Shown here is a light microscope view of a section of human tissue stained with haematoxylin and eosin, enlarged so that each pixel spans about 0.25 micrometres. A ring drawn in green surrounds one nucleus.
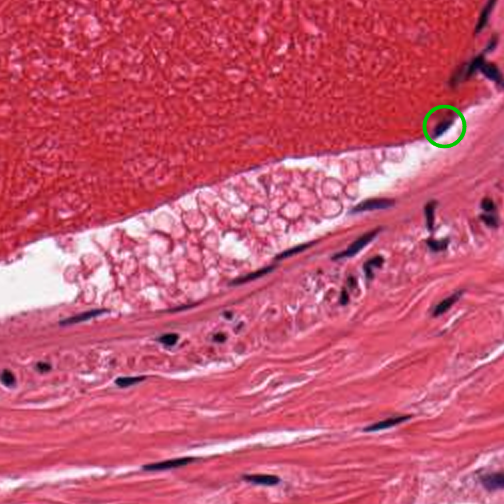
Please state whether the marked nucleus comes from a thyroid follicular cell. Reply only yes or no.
no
